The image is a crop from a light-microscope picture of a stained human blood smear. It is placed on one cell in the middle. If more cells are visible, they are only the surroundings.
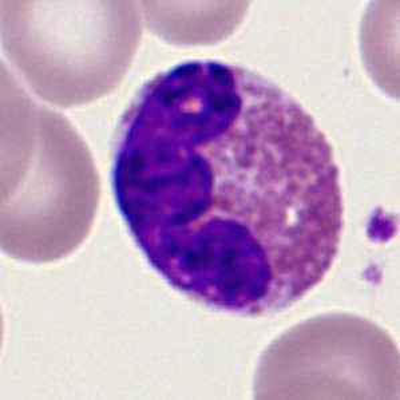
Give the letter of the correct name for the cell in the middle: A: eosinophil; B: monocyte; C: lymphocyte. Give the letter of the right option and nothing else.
A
